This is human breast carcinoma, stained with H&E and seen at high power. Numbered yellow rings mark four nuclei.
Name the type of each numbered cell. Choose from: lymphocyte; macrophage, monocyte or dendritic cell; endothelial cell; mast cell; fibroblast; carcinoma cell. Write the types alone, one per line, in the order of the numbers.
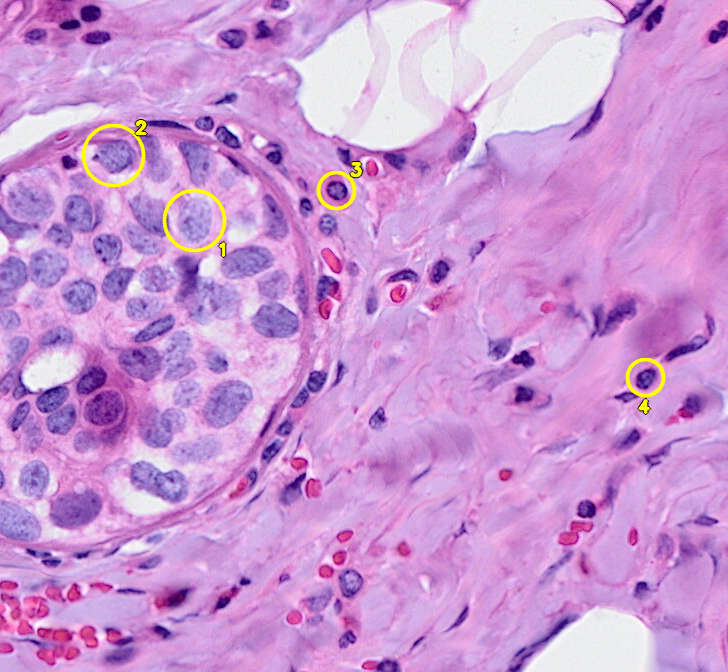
carcinoma cell
carcinoma cell
mast cell
mast cell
